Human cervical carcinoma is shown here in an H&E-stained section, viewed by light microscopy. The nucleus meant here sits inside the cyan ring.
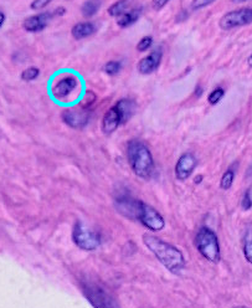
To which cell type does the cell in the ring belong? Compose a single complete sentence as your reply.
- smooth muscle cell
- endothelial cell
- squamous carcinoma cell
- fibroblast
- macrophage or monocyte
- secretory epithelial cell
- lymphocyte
As far as its identity is concerned, the cell in the ring is a smooth muscle cell.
